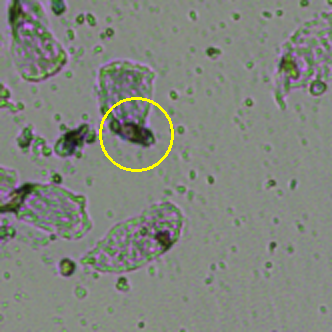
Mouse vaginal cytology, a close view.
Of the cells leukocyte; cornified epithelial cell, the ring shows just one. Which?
The ring shows a cornified epithelial cell.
